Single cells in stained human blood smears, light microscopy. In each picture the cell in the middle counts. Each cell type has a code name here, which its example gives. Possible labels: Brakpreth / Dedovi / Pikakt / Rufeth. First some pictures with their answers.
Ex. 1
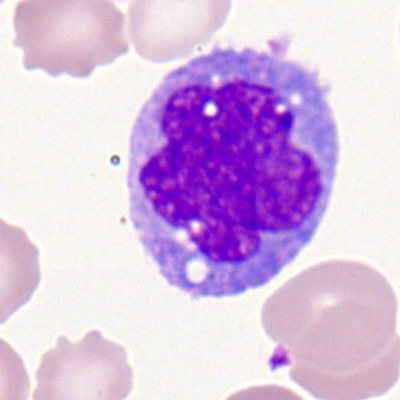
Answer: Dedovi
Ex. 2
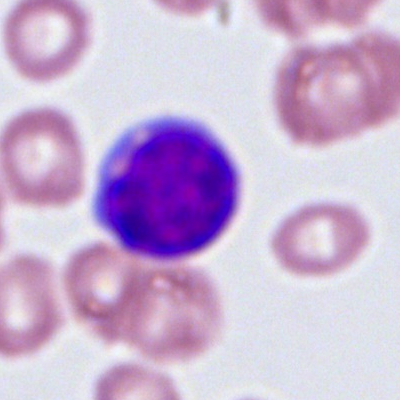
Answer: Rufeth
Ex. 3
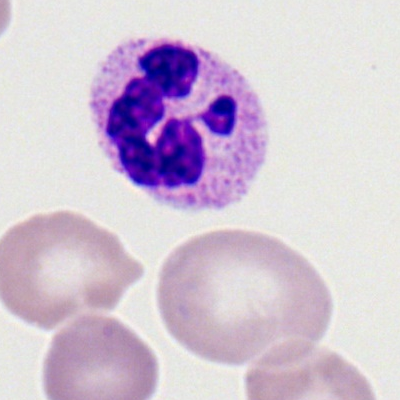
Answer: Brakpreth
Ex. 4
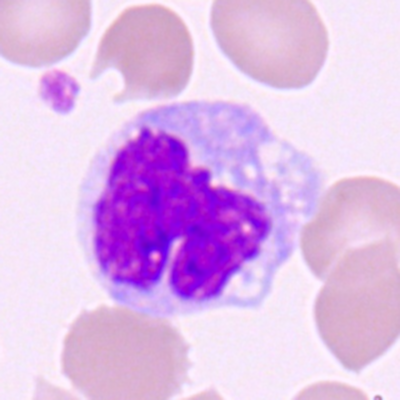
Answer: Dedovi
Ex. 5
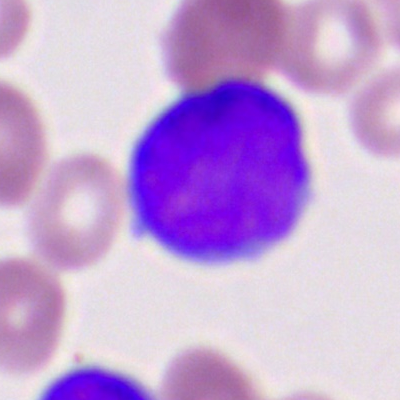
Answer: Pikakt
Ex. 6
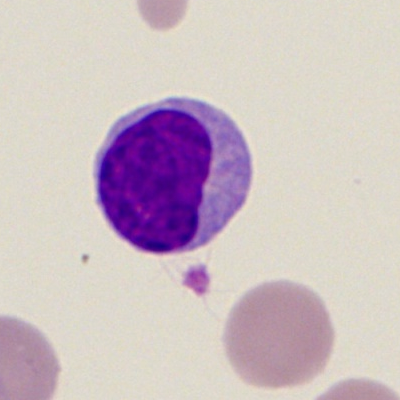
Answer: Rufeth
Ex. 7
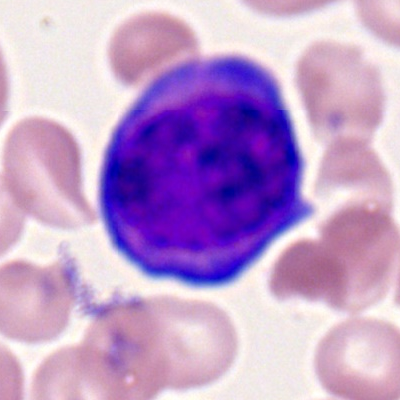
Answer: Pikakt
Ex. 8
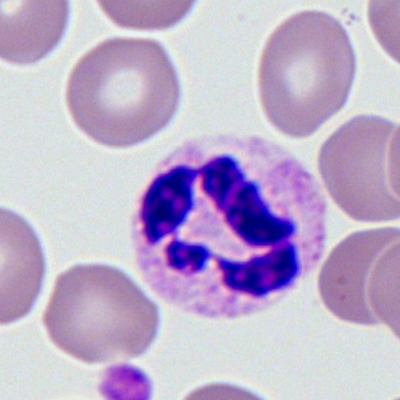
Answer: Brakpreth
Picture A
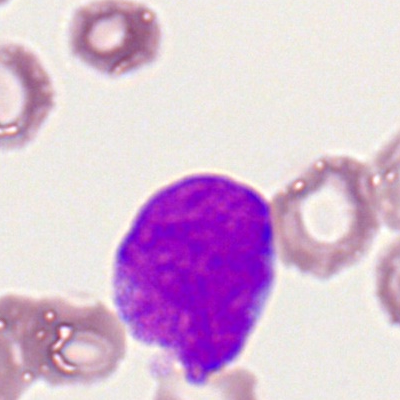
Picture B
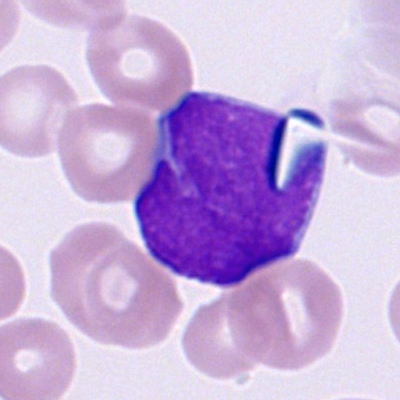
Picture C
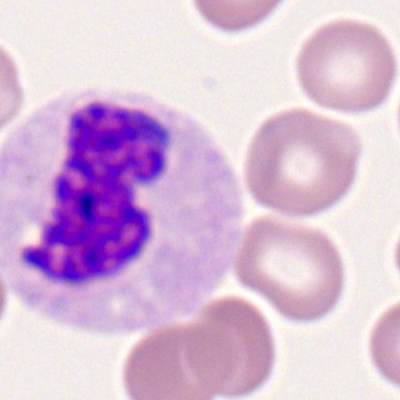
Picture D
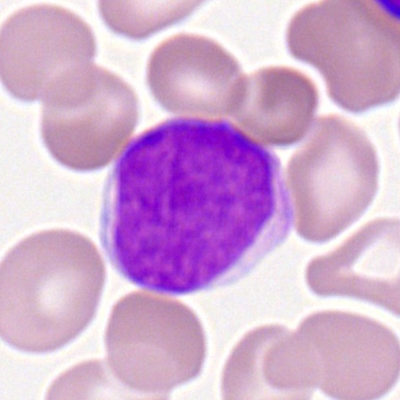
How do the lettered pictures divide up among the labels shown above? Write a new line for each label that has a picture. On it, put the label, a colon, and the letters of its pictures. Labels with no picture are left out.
Brakpreth: C
Pikakt: A, B, D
